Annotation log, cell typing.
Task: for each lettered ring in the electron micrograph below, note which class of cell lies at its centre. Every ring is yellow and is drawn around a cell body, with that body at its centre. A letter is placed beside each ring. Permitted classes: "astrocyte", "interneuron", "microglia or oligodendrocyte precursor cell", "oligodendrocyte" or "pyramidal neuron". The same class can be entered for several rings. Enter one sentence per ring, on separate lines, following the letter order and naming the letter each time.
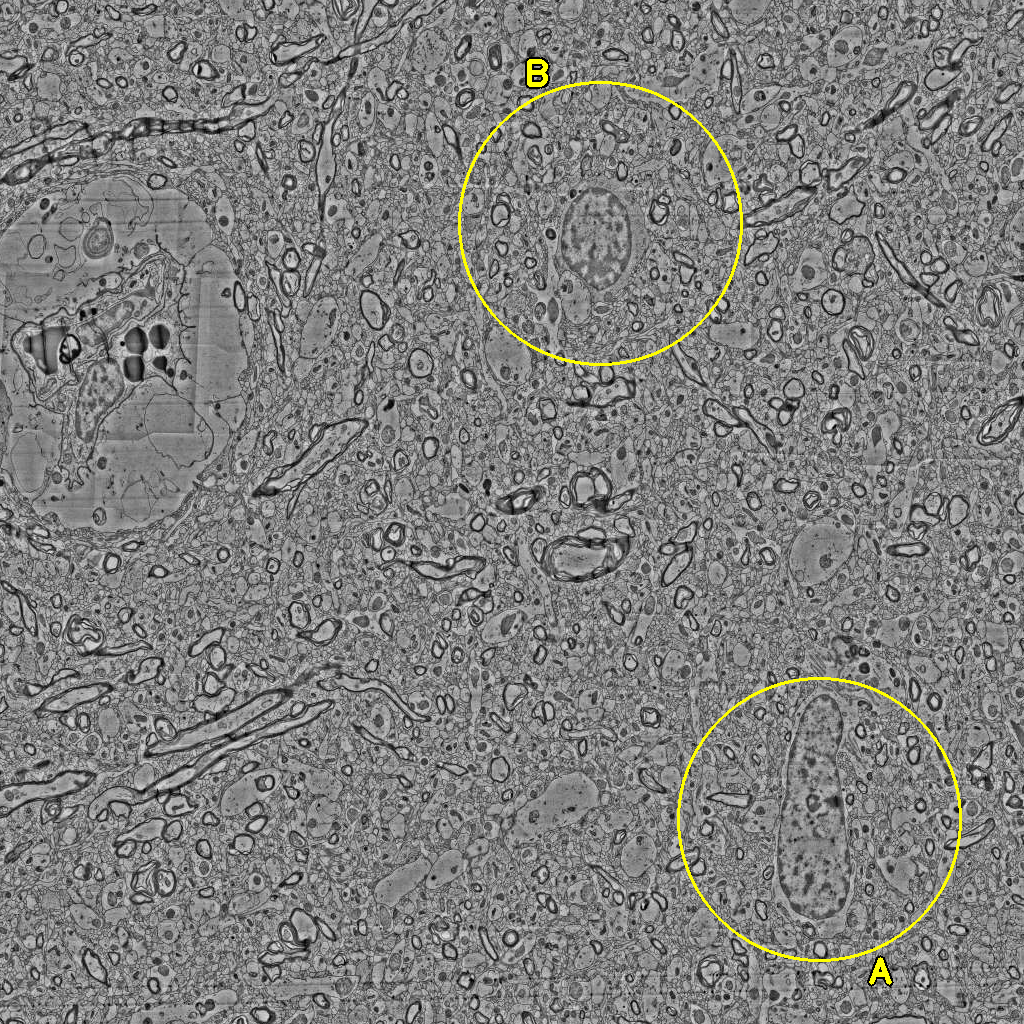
The cell at the centre of ring A is a microglial cell or oligodendrocyte precursor cell.
The cell at the centre of ring B is an oligodendrocyte.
